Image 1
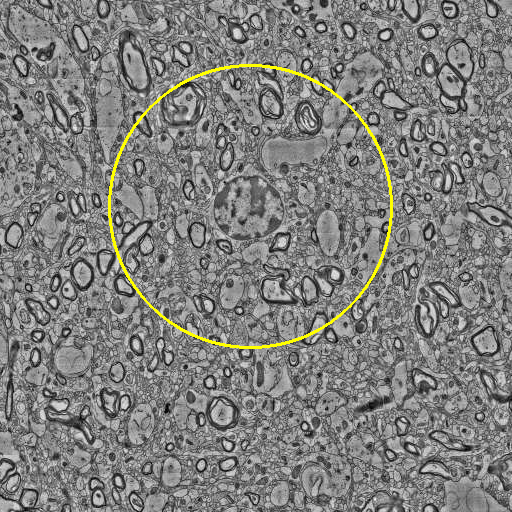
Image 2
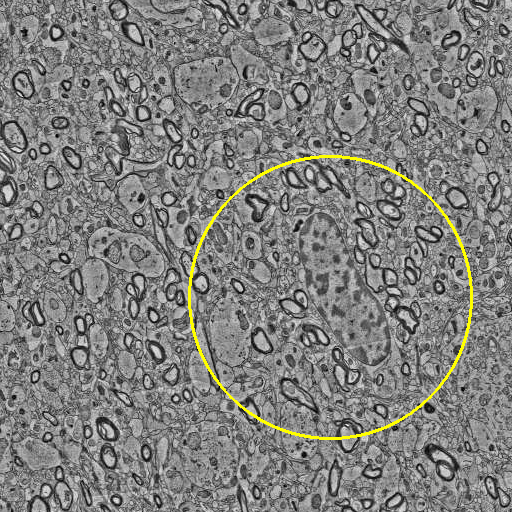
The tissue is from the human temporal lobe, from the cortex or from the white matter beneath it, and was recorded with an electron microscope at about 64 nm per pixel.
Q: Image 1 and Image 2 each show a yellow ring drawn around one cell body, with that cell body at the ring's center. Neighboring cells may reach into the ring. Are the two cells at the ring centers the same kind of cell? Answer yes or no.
yes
